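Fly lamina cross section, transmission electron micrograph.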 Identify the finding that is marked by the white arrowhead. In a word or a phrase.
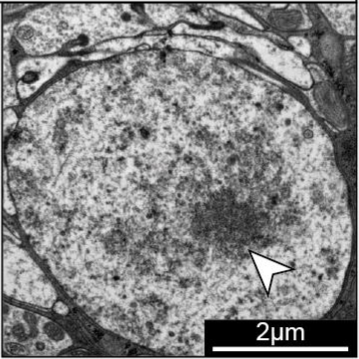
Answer: Dense materials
